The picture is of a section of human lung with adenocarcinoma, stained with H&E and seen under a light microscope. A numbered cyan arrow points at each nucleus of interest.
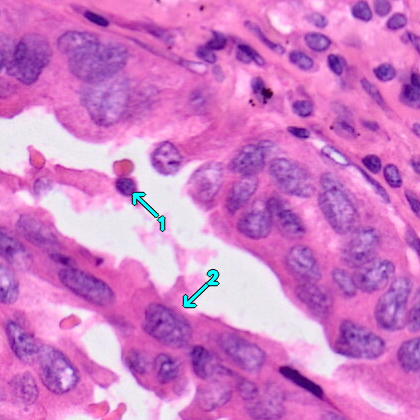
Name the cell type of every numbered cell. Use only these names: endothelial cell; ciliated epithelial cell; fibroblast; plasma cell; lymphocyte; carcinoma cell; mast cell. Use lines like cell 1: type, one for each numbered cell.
cell 1: lymphocyte
cell 2: carcinoma cell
